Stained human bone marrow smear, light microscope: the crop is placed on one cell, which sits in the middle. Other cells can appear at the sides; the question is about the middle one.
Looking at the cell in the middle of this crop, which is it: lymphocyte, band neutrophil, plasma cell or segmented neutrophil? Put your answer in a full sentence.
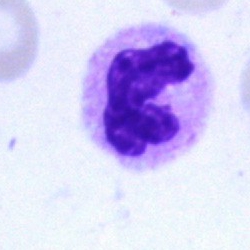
This crop has a segmented neutrophil at its centre.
